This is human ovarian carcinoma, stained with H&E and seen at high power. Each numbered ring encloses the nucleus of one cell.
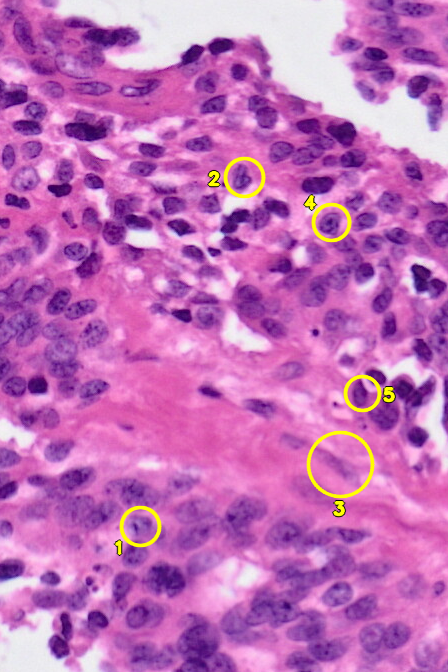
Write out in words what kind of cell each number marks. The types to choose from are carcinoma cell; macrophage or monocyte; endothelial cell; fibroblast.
Cells 1, 2 and 4 are macrophages or monocytes. Cell 3 is a fibroblast. Cell 5 is a carcinoma cell.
